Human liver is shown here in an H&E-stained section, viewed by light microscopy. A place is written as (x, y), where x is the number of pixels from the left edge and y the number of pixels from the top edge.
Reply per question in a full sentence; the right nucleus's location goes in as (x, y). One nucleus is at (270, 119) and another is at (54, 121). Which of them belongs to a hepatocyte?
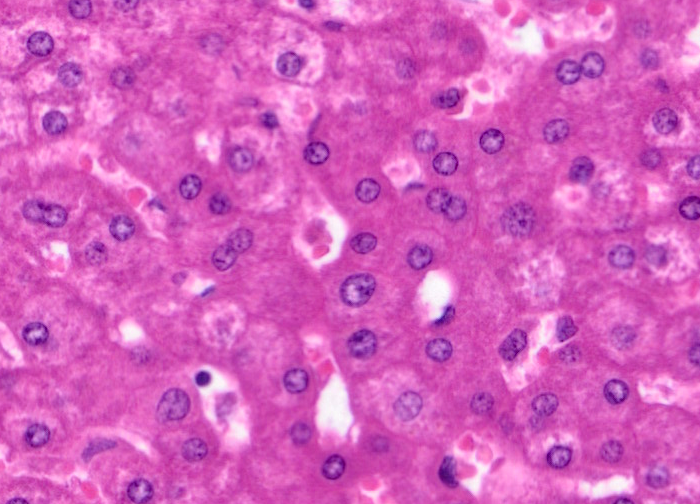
The nucleus at (54, 121) is assigned to a hepatocyte.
